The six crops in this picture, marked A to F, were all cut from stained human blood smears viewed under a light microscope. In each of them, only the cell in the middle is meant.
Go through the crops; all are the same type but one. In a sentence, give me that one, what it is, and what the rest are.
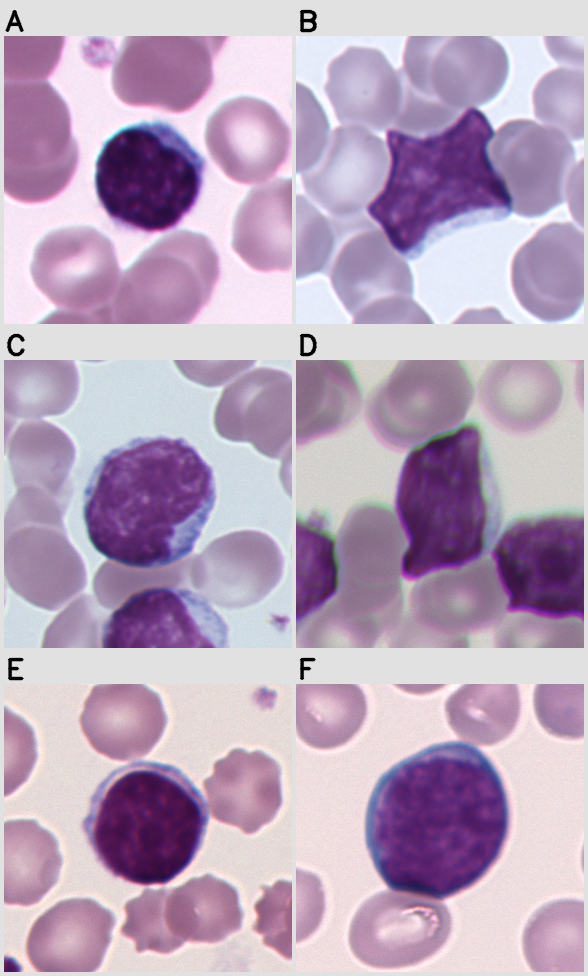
Crop F is the only one that is a myeloblast; all the others show typical lymphocytes.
